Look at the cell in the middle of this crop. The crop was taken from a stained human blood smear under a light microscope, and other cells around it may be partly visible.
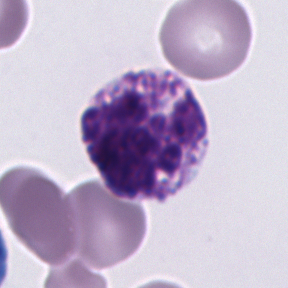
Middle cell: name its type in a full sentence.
To answer, the cell in the center of the crop is a basophil.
